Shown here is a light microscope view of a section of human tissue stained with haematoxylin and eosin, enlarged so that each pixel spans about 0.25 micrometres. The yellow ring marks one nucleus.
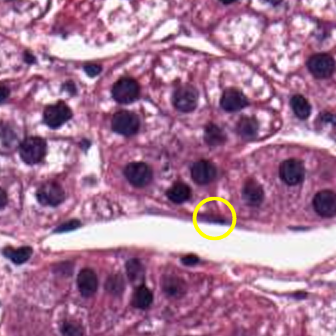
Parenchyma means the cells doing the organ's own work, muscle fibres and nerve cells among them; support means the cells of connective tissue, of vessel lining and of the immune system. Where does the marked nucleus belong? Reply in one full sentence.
The marked nucleus is held by a supporting cell.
